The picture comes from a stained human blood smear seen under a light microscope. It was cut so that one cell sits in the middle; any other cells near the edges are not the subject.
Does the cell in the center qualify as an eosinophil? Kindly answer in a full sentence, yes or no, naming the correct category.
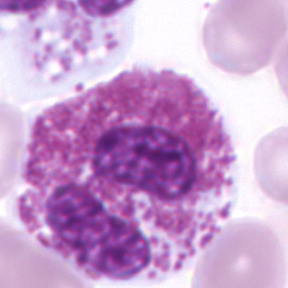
Yes, that is right: the middle cell is an eosinophil.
